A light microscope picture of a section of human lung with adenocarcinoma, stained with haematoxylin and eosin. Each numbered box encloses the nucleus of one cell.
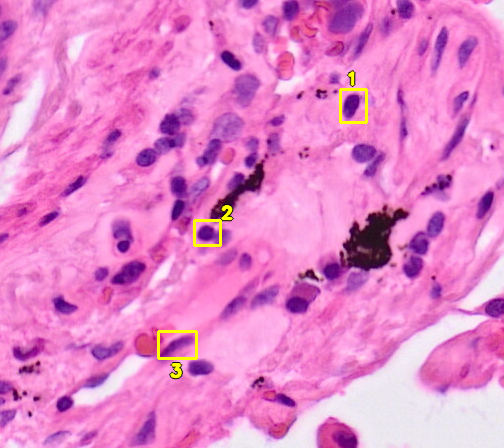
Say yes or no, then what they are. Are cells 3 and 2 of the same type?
No, in contrast to cell 2, which is a lymphocyte, cell 3 is an endothelial cell.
